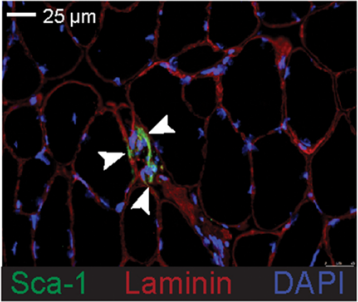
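Blue nuclei sit at the edges of the fibres and in the narrow spaces between them, none in the fibre centres. Where several fibres meet, a small cluster of cells carries green label around blue nuclei, and the arrowheads point to it. These green cells lie outside the red outlines, in the space between the fibres.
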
